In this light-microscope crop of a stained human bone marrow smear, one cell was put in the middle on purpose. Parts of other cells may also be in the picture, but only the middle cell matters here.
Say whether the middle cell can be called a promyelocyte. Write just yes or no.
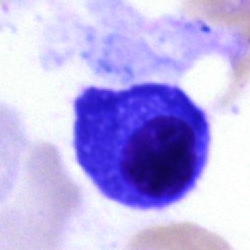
no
